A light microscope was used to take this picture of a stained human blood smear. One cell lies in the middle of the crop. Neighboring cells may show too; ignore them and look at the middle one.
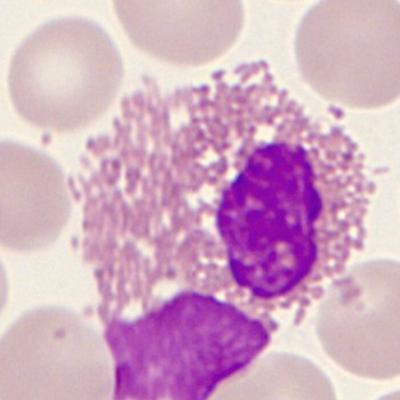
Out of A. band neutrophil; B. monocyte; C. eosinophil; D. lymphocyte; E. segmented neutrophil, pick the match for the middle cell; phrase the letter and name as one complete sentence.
Option C is correct in that the central cell is an eosinophil.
